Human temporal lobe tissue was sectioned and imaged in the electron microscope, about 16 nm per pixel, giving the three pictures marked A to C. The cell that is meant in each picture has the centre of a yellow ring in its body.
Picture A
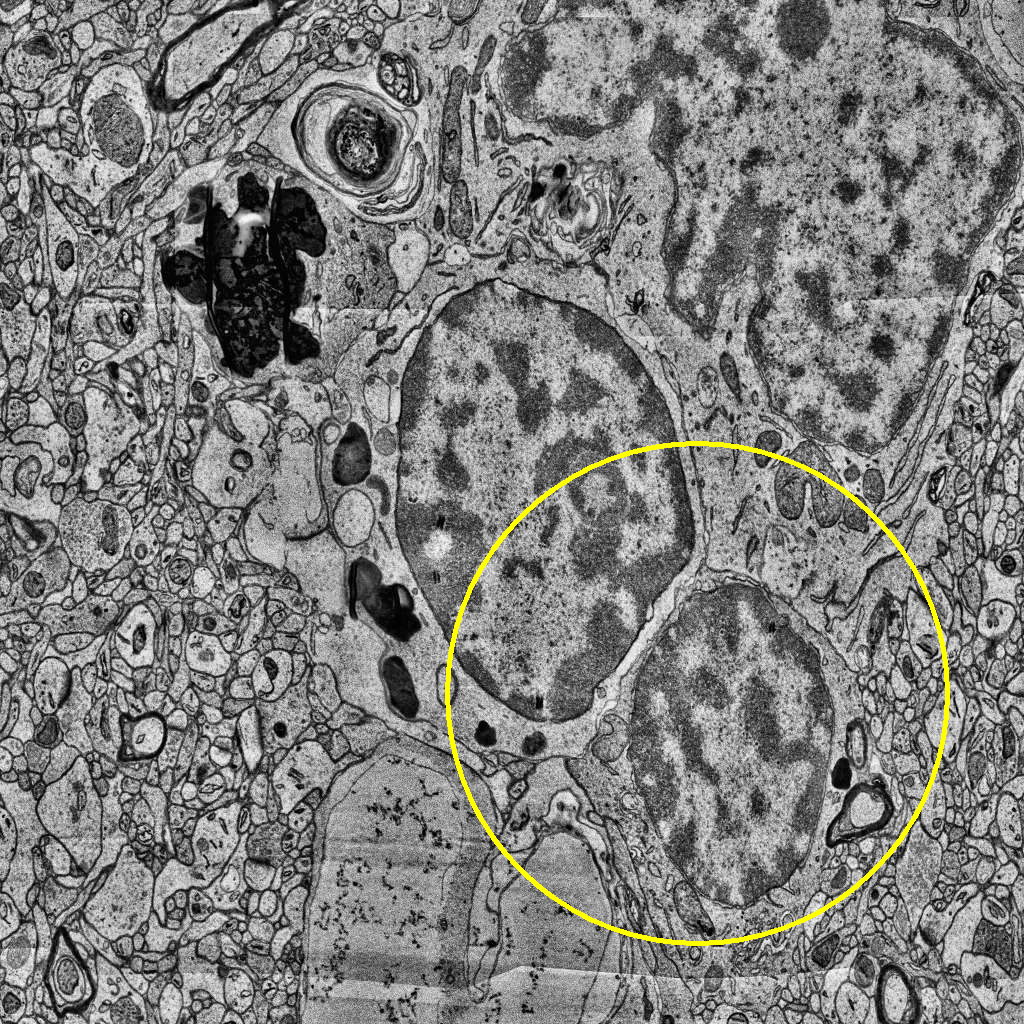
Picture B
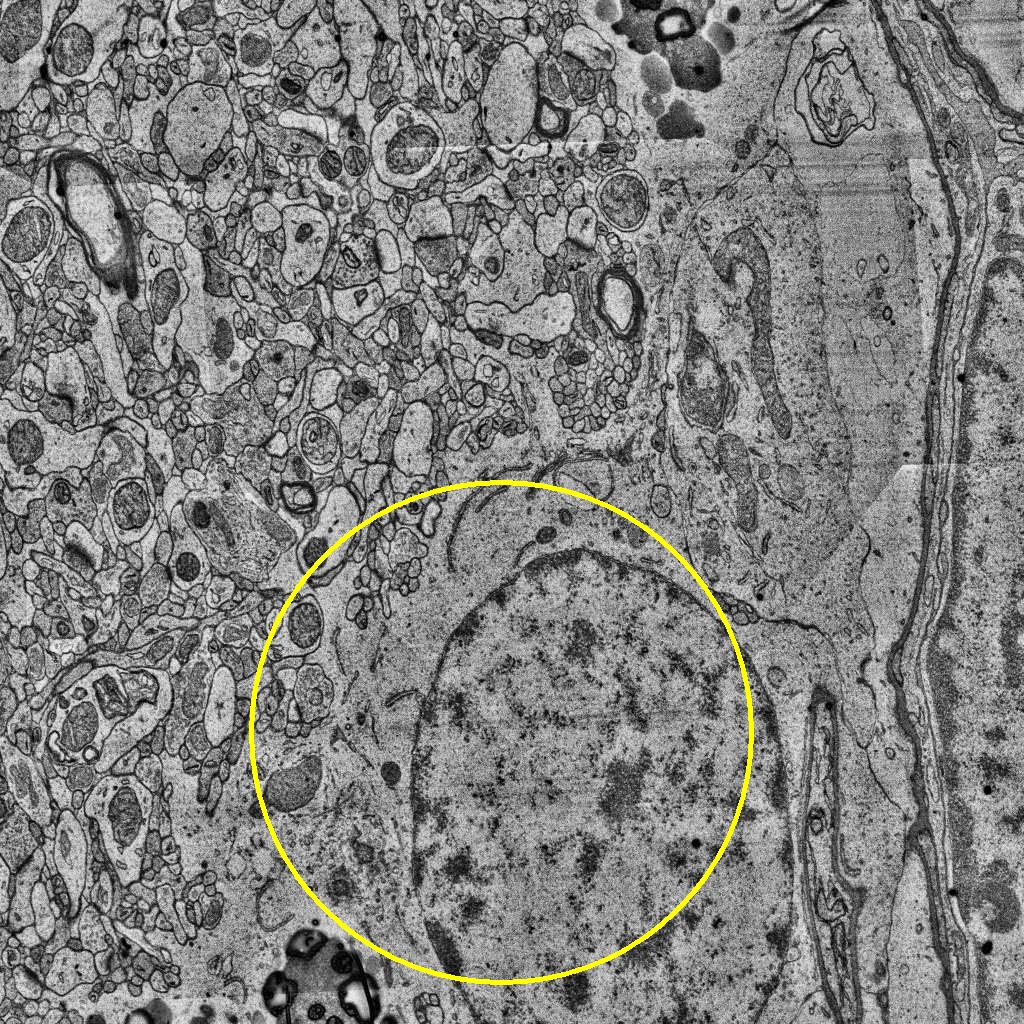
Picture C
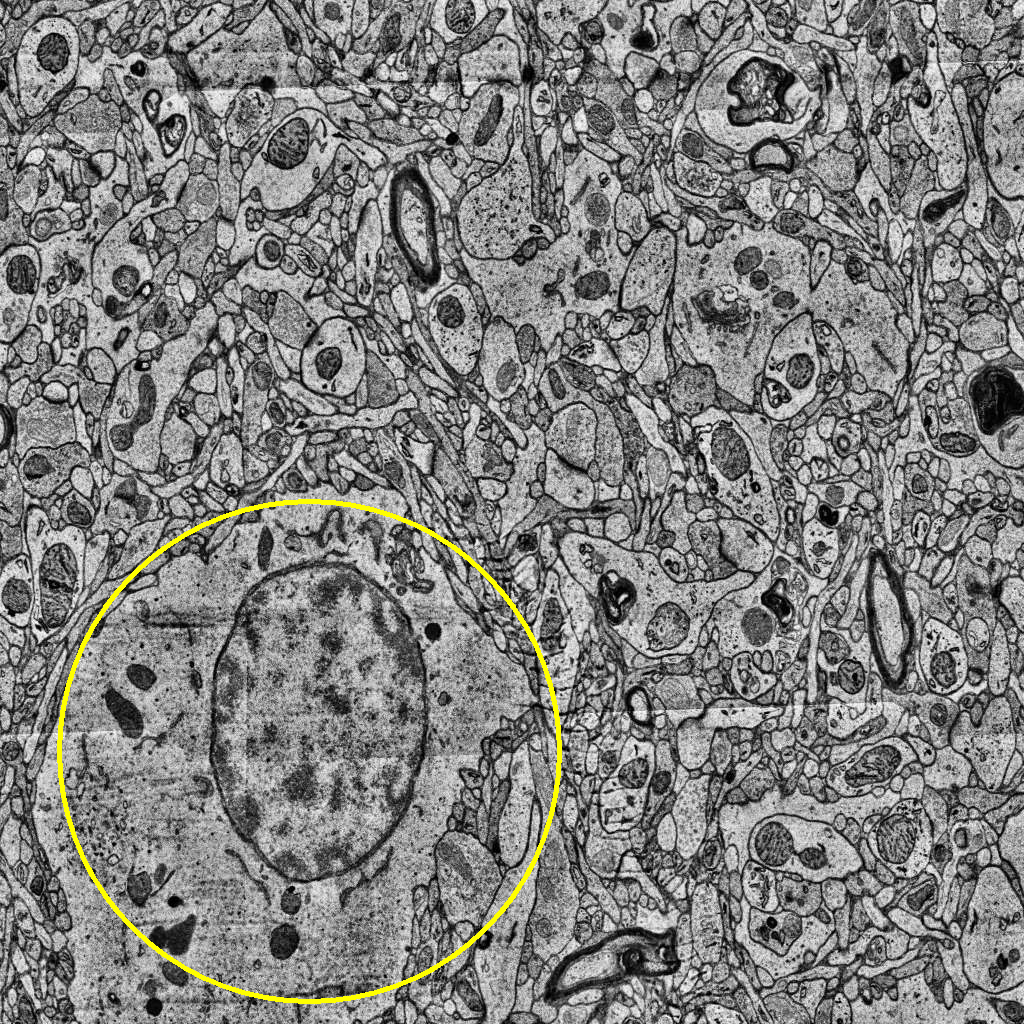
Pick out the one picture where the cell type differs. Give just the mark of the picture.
A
